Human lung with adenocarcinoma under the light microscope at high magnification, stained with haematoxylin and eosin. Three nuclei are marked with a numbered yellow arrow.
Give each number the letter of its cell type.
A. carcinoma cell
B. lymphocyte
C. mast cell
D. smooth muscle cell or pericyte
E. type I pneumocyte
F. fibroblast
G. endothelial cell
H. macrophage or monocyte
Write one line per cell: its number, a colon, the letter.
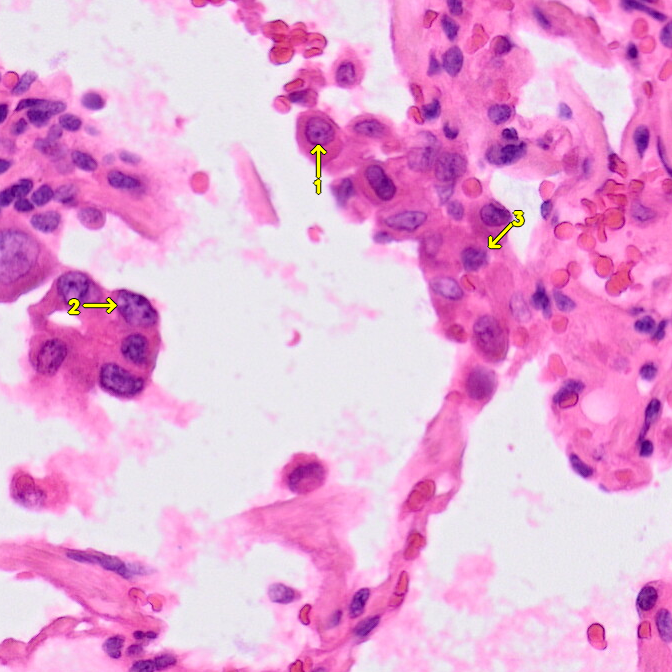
1: H
2: A
3: H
